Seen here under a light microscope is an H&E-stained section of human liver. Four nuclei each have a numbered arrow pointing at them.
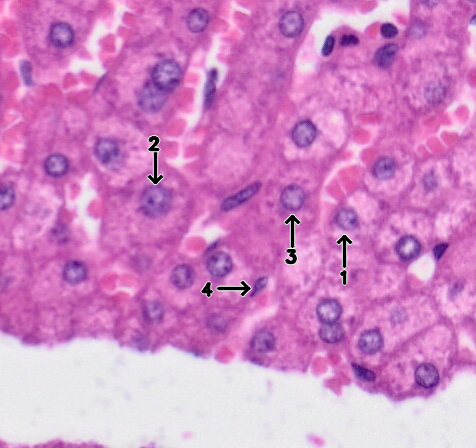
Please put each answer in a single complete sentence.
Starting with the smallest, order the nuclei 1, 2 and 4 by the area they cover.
From smallest to largest, the order is 4, 1, 2.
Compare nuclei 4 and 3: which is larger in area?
Of the two, number 3 is bigger and takes up about 3 times the area of number 4.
